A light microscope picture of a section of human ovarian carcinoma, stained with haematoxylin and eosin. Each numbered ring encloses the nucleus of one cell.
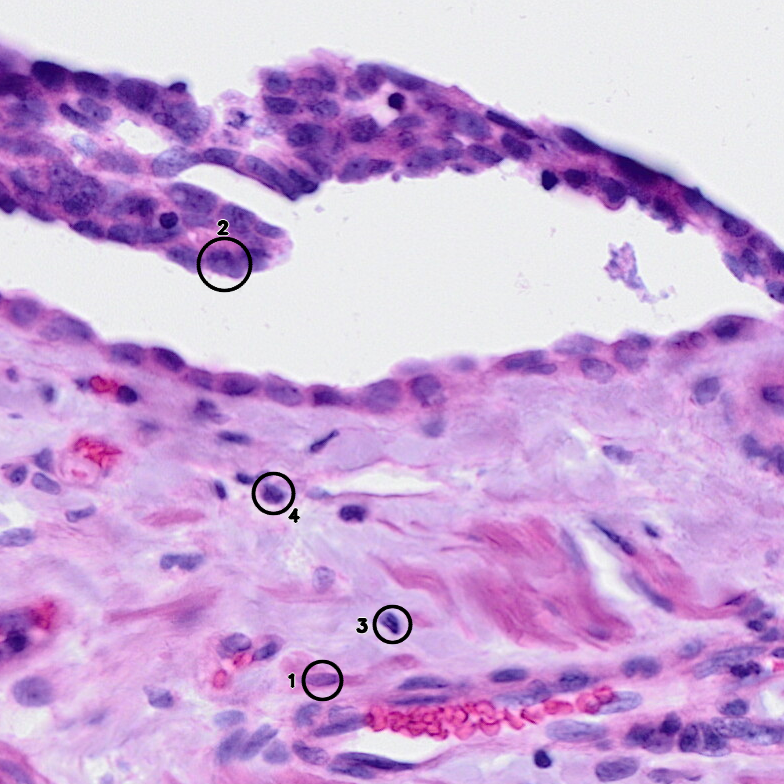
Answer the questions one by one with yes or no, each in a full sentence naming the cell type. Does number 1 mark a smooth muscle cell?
Yes, to put it simply, cell number 1 is a smooth muscle cell.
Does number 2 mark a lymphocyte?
No, the cell labelled number 2 is not a lymphocyte; it is a carcinoma cell.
